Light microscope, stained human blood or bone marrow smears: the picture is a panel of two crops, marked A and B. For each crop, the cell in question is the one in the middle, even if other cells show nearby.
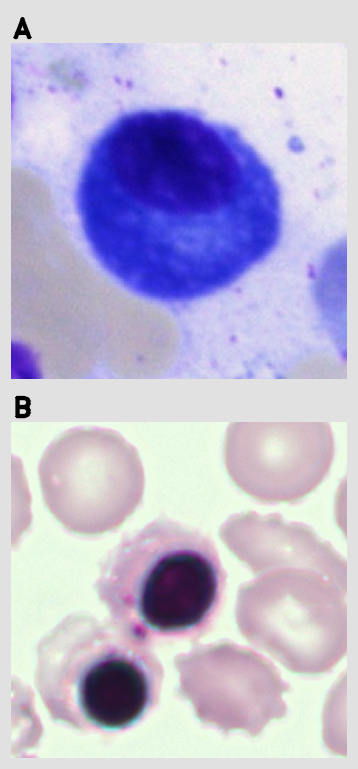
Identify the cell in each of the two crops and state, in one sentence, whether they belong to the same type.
No, crop A contains a plasma cell, while crop B contains a normoblast.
